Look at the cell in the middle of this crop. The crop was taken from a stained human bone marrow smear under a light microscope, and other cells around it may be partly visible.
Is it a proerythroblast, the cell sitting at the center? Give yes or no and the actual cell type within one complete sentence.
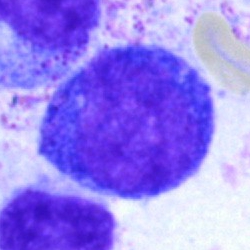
Yes, the cell of interest in the middle is a proerythroblast.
